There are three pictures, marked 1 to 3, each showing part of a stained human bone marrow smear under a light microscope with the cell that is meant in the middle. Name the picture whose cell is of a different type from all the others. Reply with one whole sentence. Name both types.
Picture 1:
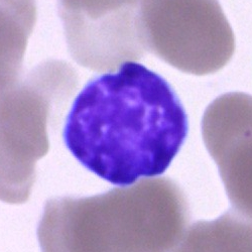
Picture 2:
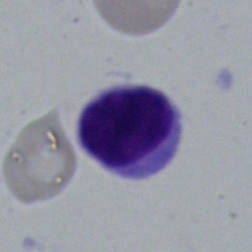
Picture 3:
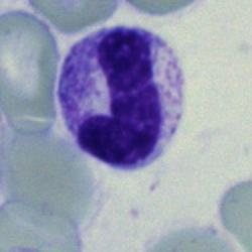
The others show lymphocytes, but picture 3 shows a band neutrophil.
